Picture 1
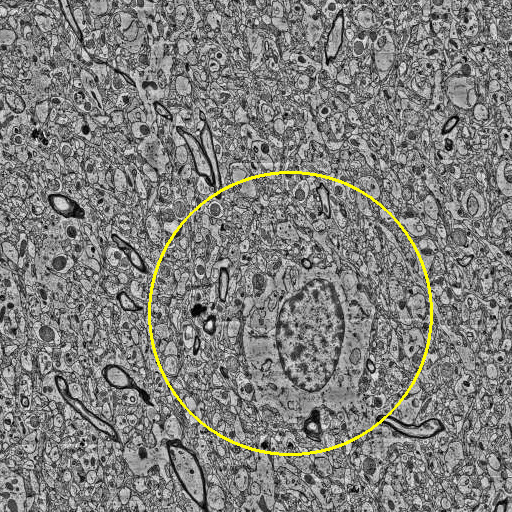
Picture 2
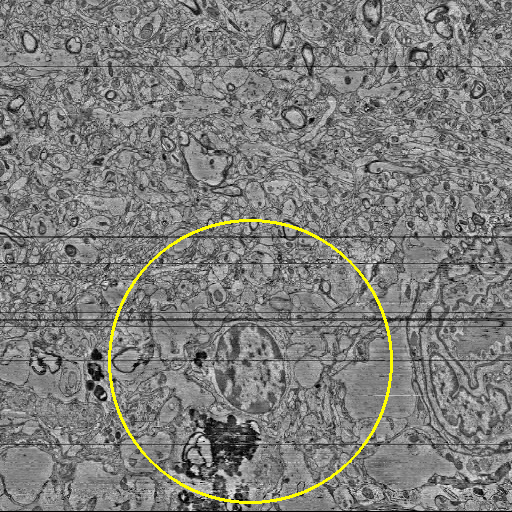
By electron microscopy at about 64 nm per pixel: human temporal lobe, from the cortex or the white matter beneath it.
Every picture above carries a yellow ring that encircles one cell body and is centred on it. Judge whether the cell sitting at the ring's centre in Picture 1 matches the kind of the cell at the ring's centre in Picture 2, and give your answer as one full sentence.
No, the cells centred in the rings of Pictures 1 and 2 belong to two kinds.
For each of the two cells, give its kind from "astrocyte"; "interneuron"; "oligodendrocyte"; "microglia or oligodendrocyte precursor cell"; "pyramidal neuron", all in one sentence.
The first picture has an astrocyte in its ring, the second has a microglial cell or oligodendrocyte precursor cell.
